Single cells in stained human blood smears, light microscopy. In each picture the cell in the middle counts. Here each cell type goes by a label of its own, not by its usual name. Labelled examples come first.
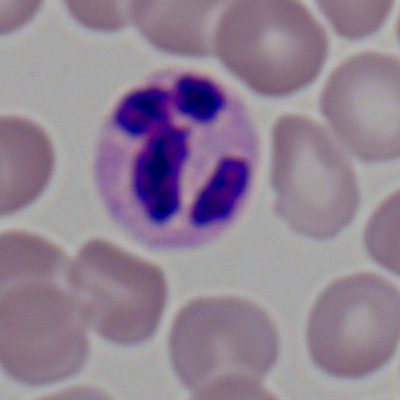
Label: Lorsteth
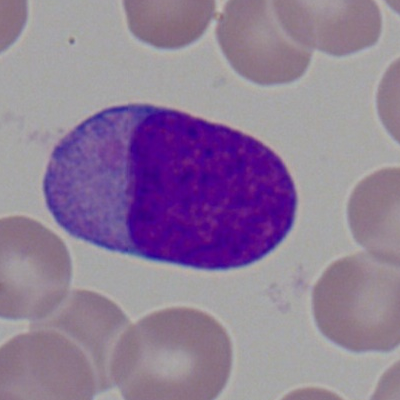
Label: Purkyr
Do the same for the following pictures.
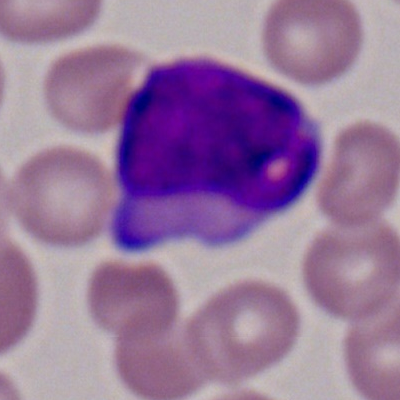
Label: Purkyr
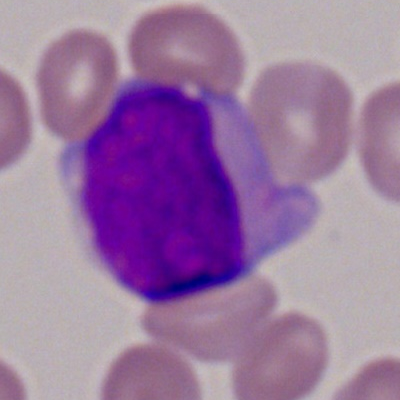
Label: Purkyr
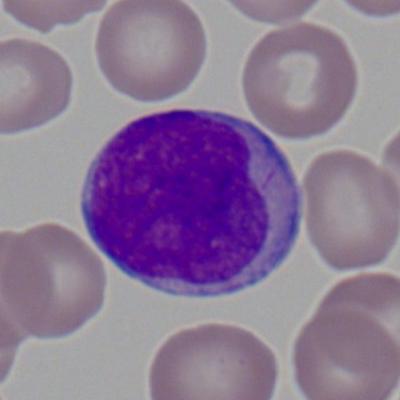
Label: Purkyr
